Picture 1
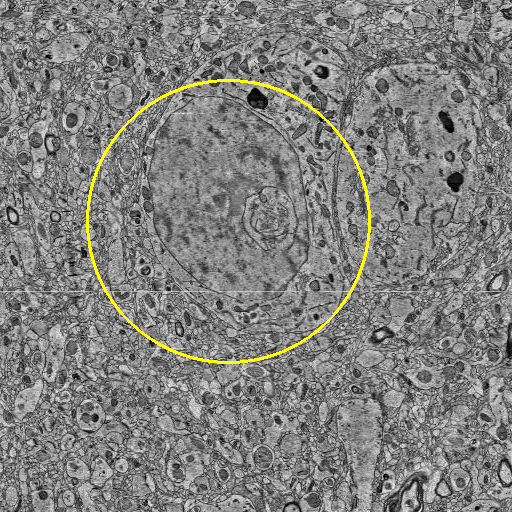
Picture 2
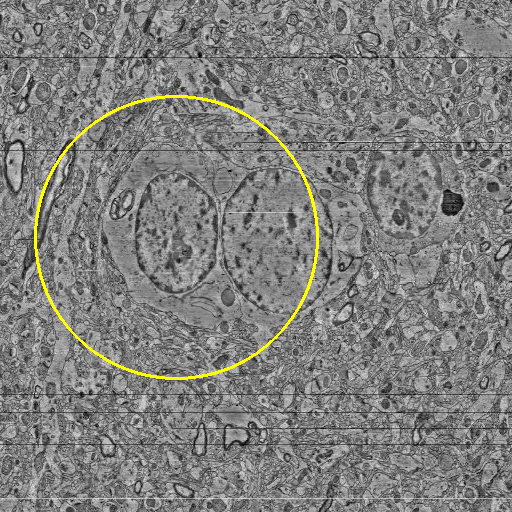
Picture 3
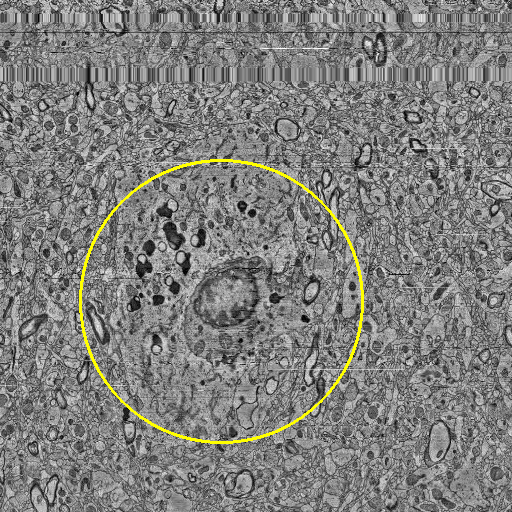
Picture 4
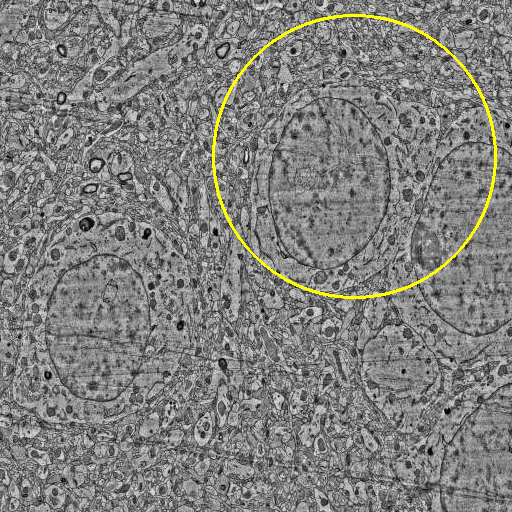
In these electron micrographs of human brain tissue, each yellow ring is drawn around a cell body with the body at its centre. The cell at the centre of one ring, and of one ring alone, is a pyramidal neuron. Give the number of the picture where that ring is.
4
